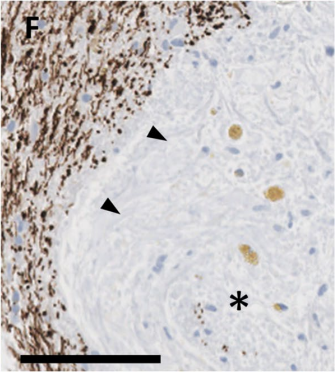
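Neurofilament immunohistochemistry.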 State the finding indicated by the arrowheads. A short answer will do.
axonal loss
